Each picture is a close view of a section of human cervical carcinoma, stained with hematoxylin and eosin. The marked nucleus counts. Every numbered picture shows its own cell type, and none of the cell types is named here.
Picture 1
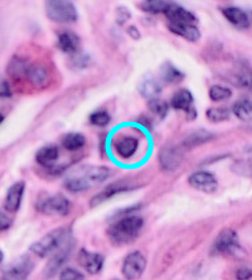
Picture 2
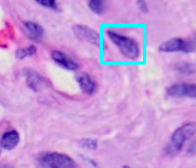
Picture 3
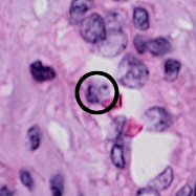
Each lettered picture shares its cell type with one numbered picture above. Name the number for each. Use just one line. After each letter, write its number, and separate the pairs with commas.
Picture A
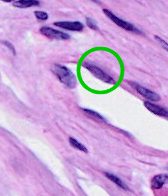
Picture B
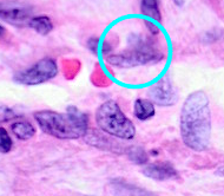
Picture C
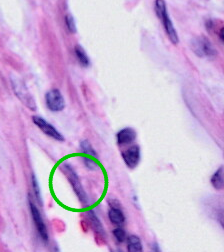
A 3, B 3, C 3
